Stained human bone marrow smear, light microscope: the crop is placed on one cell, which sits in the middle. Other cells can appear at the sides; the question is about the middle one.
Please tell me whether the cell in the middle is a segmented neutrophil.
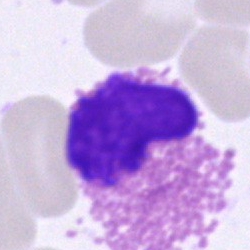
no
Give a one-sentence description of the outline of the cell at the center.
Irregular and not smooth, the cell boundary is ragged or drawn out into projections.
